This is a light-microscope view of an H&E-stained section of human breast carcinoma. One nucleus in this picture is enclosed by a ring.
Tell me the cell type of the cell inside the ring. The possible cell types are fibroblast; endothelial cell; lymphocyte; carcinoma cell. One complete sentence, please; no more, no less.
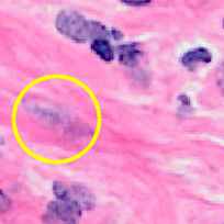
Within the stained tissue, the cell inside the ring is a fibroblast.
